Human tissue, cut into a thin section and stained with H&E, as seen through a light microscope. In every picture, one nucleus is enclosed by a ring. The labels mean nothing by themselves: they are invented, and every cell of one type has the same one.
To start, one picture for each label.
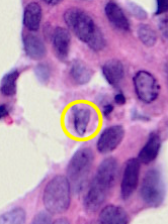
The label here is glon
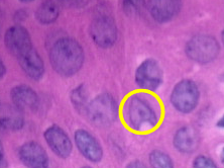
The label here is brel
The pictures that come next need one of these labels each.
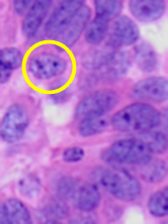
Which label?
glon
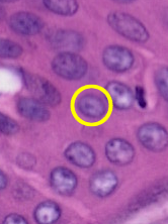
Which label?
brel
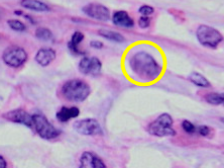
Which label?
glon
